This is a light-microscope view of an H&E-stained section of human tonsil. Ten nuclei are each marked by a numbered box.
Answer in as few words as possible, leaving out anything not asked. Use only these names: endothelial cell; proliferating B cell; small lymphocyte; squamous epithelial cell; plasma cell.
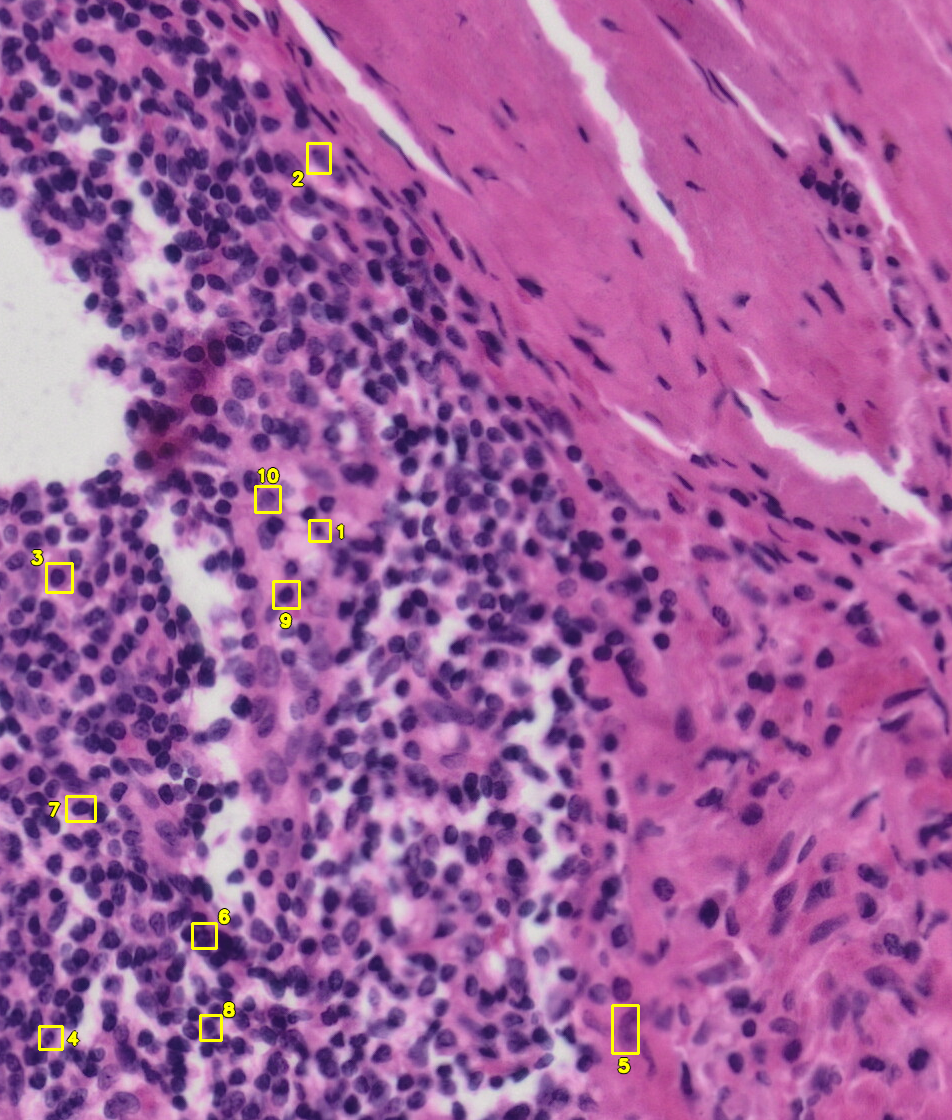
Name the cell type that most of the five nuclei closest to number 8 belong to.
small lymphocyte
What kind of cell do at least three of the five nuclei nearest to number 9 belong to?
endothelial cell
